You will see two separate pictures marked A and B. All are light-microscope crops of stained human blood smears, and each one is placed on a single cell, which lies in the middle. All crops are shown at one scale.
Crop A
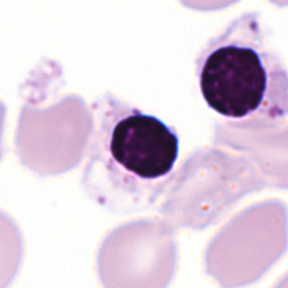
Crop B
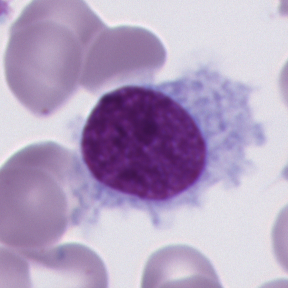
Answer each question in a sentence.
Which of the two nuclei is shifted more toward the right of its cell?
Seen within its cell, the nucleus in crop A lies further toward the right.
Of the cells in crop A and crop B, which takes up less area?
Smaller is the cell in crop A, and the other is about 4 times as large in area.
